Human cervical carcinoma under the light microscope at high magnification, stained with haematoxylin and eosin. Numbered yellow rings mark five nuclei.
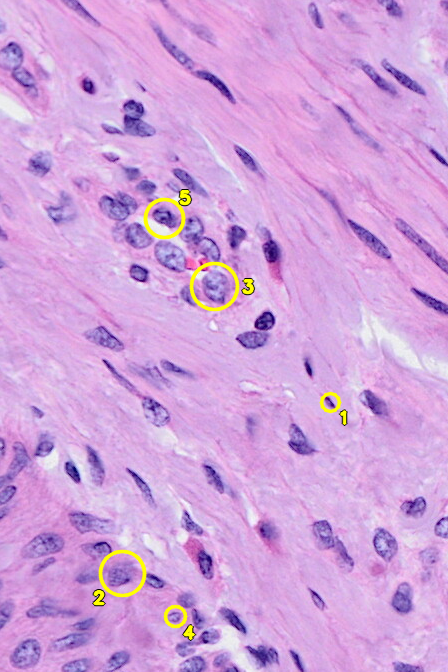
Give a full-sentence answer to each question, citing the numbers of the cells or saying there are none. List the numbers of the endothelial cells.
The cells referred to by numbers 3 and 5 are endothelial cells.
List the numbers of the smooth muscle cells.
Cells 2 and 4 are of one type, namely smooth muscle cells.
